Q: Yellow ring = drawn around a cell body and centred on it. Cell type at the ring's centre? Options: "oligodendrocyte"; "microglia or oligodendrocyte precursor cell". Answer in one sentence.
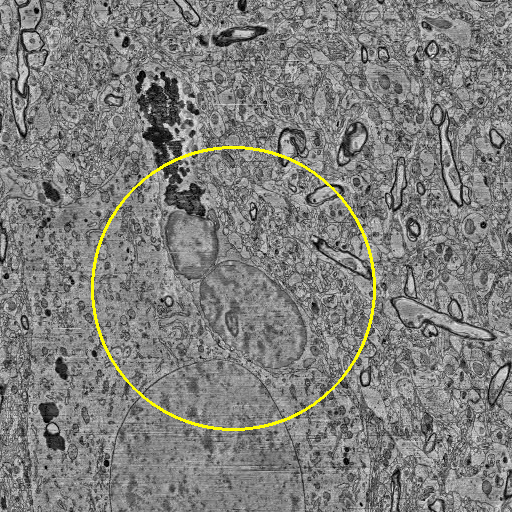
Centred in the ring is an oligodendrocyte.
